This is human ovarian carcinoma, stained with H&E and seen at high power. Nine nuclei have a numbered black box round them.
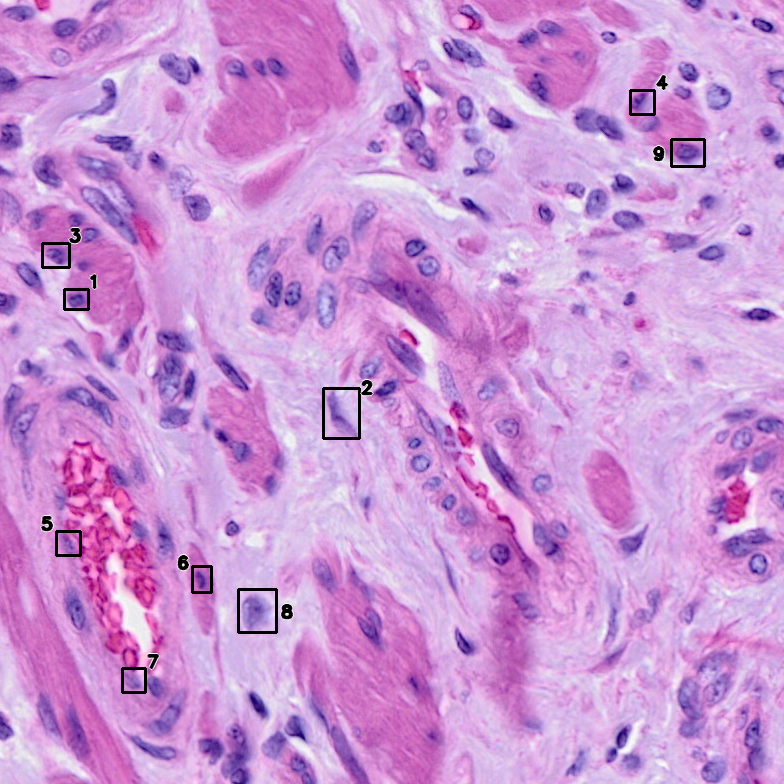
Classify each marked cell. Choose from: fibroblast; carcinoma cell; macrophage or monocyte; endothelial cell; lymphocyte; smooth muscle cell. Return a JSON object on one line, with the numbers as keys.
{"1": "smooth muscle cell", "2": "fibroblast", "3": "smooth muscle cell", "4": "smooth muscle cell", "5": "endothelial cell", "6": "smooth muscle cell", "7": "endothelial cell", "8": "fibroblast", "9": "smooth muscle cell"}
